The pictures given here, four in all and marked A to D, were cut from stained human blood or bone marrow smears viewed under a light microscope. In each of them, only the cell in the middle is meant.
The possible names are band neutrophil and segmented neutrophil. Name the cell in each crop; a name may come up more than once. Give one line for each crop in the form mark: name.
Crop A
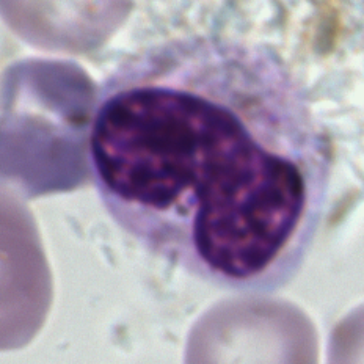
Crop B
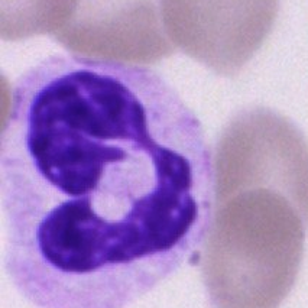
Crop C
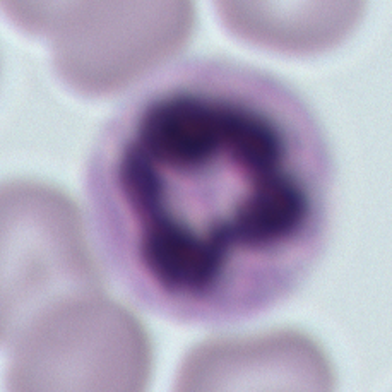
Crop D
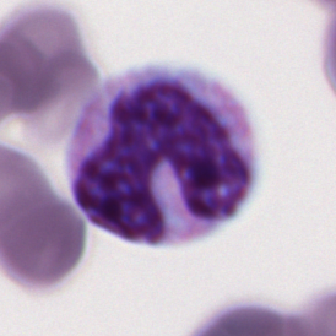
A: band neutrophil
B: segmented neutrophil
C: segmented neutrophil
D: band neutrophil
